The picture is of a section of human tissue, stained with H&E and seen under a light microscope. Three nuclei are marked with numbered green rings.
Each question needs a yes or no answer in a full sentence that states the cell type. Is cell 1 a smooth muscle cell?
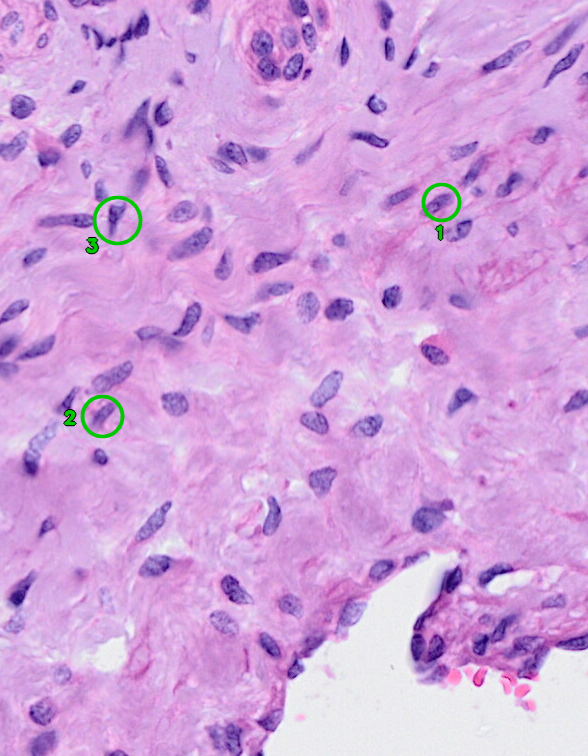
Yes, the cell whose number is 1 is a smooth muscle cell.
